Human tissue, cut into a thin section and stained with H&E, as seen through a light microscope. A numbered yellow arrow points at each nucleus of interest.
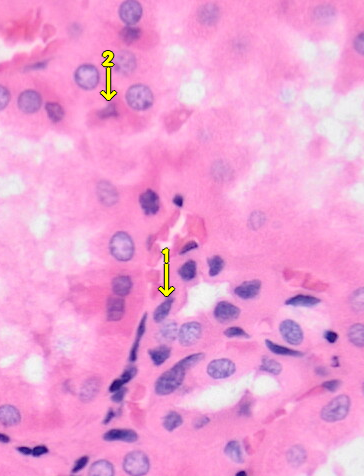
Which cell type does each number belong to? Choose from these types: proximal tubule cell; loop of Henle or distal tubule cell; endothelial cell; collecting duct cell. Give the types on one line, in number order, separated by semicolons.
collecting duct cell; proximal tubule cell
